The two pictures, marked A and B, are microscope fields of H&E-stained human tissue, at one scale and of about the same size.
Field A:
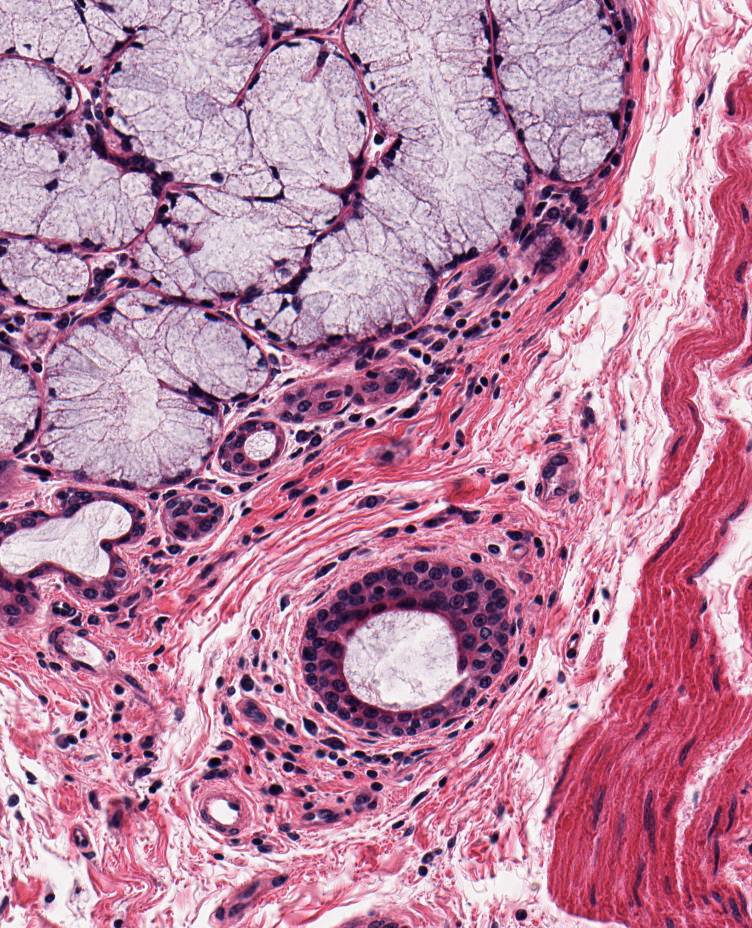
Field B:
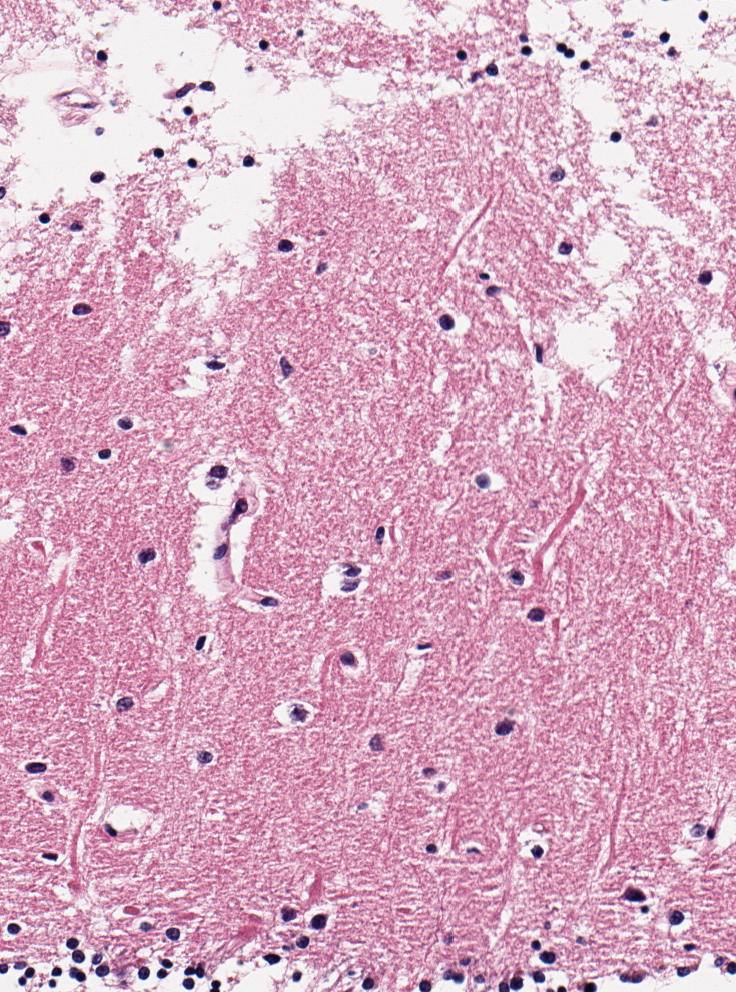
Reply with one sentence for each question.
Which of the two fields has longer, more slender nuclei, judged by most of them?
Longer, more slender nuclei lie in field A.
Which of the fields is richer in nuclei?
There are more nuclei in field A.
